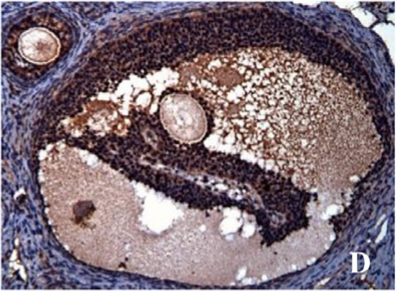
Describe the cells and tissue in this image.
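Ovarian tissue with a large antral follicle, its wall formed by stratified granulosa cells with small dark nuclei lining a wide cavity. The cavity holds brown-stained fluid and a round oocyte with a pale, thick zona, and a band of granulosa cells stretches across it. Outside the granulosa wall, elongated stromal and theca cells with bluish nuclei form concentric layers. A smaller follicle with its own oocyte lies at the upper left.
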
